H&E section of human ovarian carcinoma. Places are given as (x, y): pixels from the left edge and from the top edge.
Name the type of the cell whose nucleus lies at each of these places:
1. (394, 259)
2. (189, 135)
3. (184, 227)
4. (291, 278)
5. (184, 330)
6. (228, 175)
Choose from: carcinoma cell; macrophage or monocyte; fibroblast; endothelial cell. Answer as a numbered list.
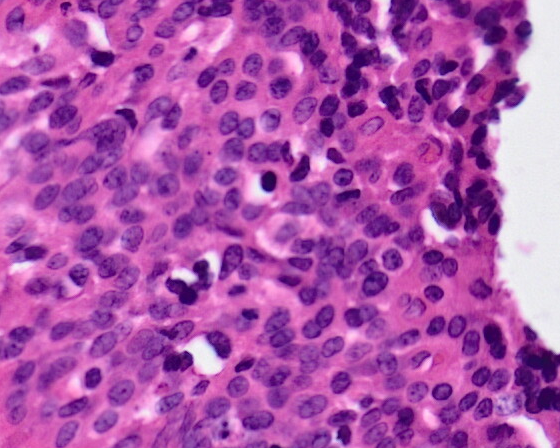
1. macrophage or monocyte
2. carcinoma cell
3. carcinoma cell
4. carcinoma cell
5. carcinoma cell
6. macrophage or monocyte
